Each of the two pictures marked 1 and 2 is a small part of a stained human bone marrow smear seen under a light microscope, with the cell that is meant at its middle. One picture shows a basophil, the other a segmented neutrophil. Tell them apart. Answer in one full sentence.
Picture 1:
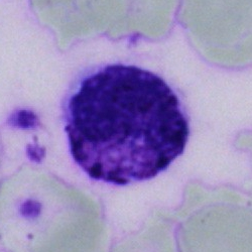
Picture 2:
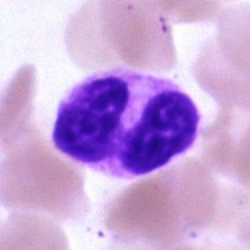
It is picture 1 that shows a basophil, and picture 2 that shows a segmented neutrophil.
